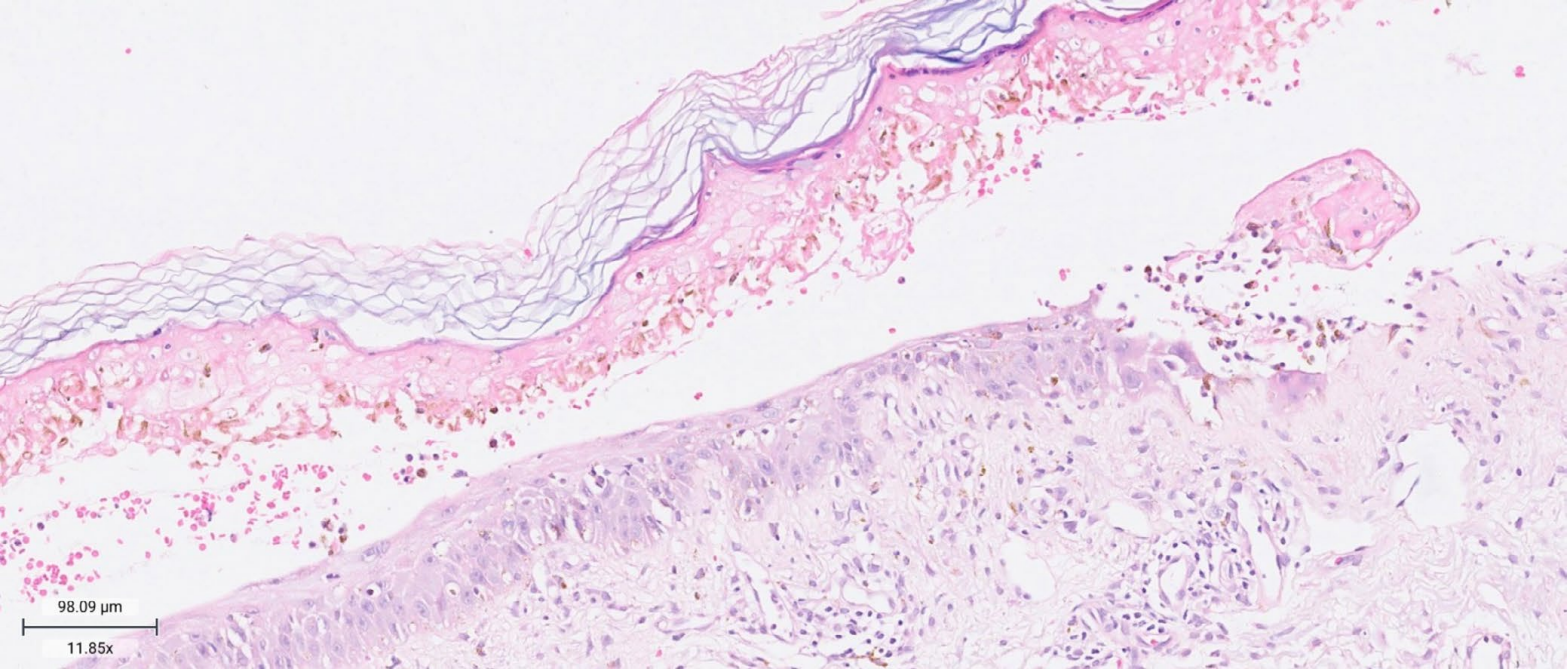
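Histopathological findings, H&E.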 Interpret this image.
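Skin with a strip of epidermis lifted away from the underlying tissue by a wide clear cleft. The detached epidermis is uniformly bright pink, with few or no intact nuclei through its thickness, and still carries a basket-weave cornified layer on top. Brown pigment granules are scattered along the underside of the detached strip. Free red blood cells lie within the cleft. Below the cleft lies pale nucleated tissue, with scattered cells and a few brown pigment granules.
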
